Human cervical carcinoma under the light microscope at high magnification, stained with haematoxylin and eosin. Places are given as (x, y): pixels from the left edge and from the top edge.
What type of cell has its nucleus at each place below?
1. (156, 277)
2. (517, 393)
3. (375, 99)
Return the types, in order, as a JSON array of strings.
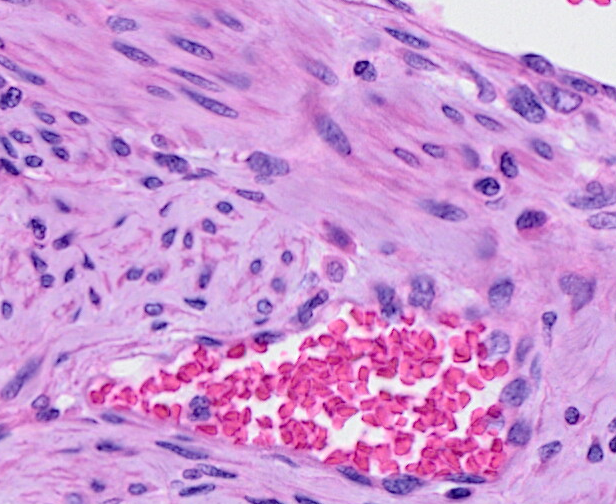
["smooth muscle cell", "endothelial cell", "smooth muscle cell"]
